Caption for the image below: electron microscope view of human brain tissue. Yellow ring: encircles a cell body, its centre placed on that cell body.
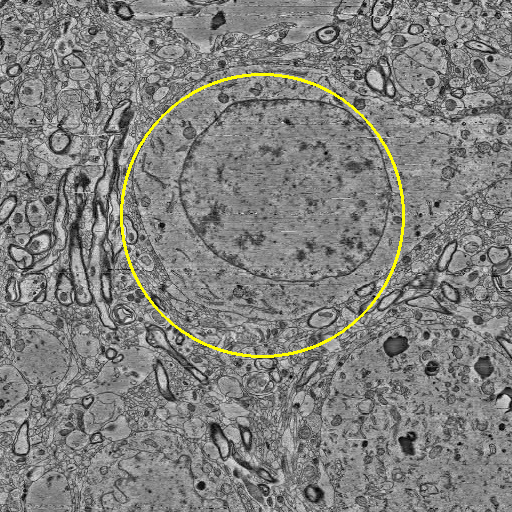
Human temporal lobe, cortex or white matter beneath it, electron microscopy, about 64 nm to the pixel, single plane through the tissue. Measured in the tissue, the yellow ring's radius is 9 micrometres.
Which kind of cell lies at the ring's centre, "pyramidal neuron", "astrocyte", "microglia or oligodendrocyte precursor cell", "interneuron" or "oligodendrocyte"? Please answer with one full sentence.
The picture shows a pyramidal neuron at the centre of the yellow ring.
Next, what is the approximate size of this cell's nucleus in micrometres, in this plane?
In this plane, roughly 13 micrometres across.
